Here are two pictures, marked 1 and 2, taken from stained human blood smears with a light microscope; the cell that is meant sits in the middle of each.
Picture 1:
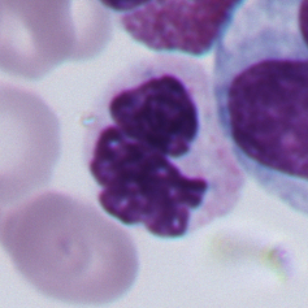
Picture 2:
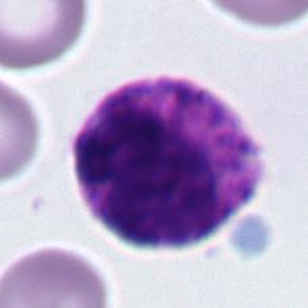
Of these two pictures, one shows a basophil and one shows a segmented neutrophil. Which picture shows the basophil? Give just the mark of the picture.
2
